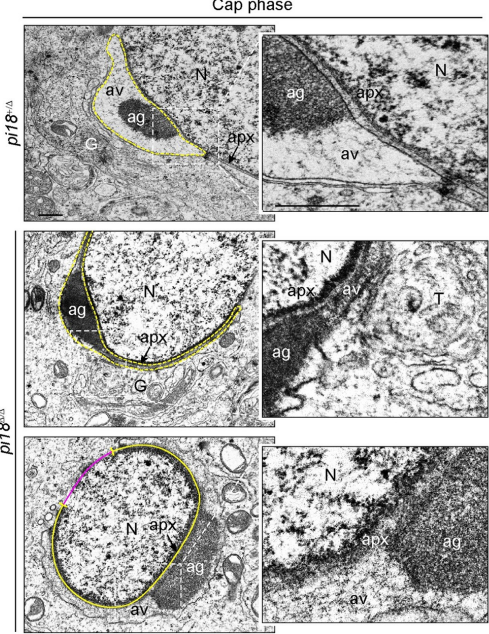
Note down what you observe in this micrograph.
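These electron micrographs show round spermatids at a later step of acrosome formation, each with a large round nucleus capped on one side by a flattened, membrane-bound sac traced in yellow. Within the sac lies a very dense, dark granule pressed against the nuclear surface, and a thin dense layer runs between the sac and the nuclear envelope.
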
